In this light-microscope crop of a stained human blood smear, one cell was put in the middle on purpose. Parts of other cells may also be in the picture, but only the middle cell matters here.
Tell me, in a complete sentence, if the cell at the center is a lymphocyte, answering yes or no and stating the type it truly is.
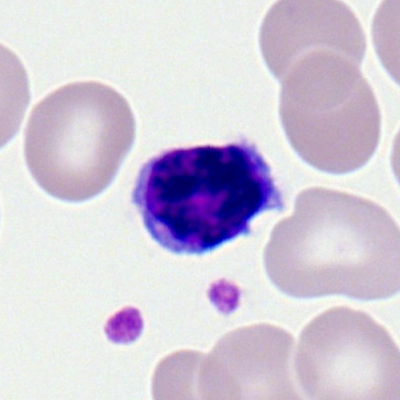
Yes, the cell in the center of this crop is a lymphocyte.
